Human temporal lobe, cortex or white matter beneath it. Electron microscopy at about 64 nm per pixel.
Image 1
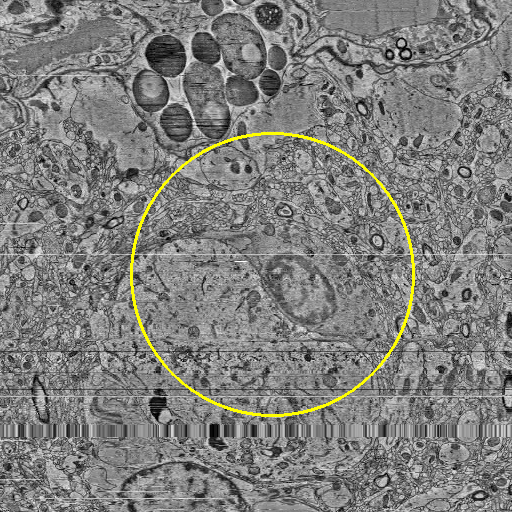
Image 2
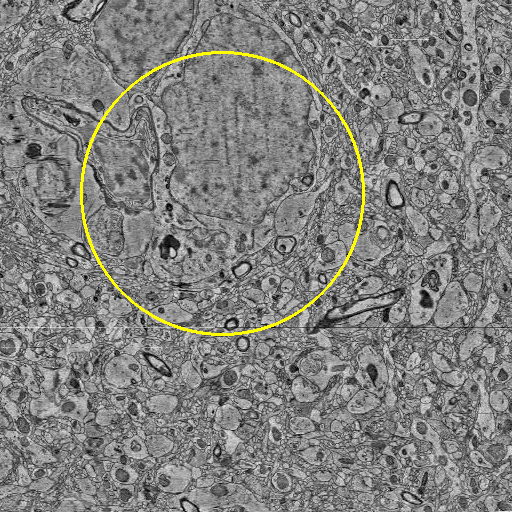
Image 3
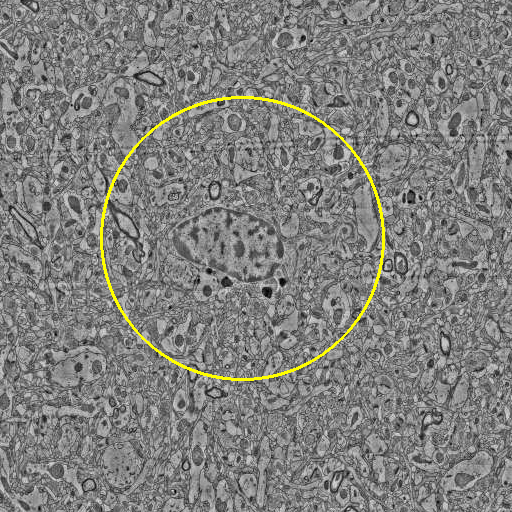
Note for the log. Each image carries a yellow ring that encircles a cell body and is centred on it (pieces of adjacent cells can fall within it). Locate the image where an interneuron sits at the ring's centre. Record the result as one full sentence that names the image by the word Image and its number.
Image 2 has the wanted cell sitting at the centre of its ring.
